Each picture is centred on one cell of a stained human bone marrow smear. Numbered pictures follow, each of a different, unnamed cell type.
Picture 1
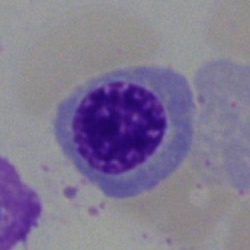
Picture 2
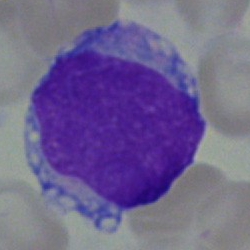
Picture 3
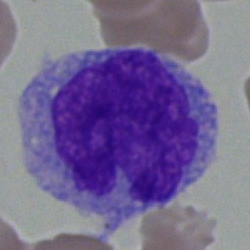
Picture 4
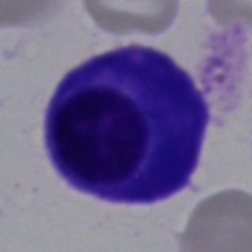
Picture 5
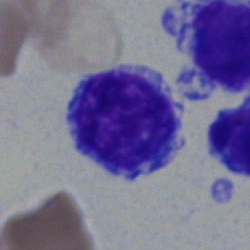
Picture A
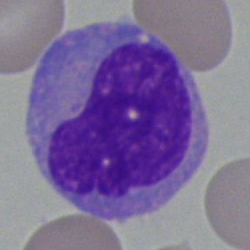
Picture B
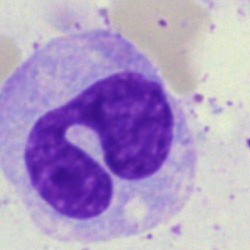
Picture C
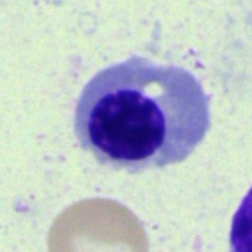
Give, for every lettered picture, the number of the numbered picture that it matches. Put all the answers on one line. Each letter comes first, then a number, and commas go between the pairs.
A 3, B 3, C 1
